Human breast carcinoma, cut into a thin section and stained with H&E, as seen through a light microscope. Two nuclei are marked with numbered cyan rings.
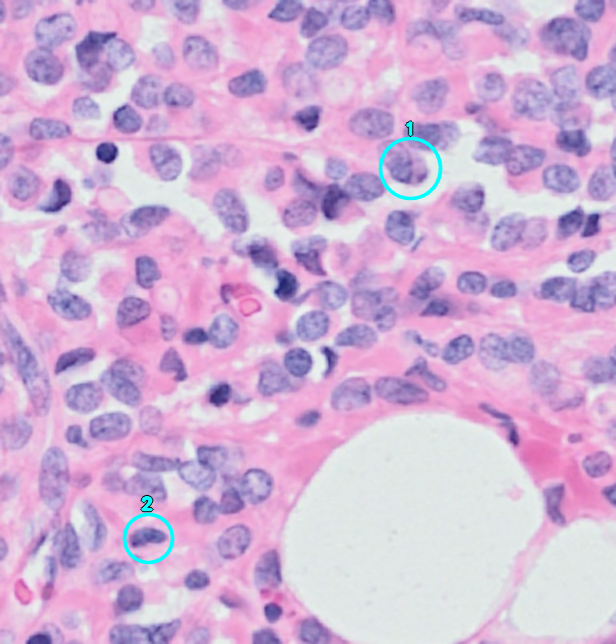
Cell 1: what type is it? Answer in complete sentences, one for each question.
To a carcinoma cell belongs the nucleus marked 1.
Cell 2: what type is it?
The cell that carries the label 2 is a lymphocyte.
